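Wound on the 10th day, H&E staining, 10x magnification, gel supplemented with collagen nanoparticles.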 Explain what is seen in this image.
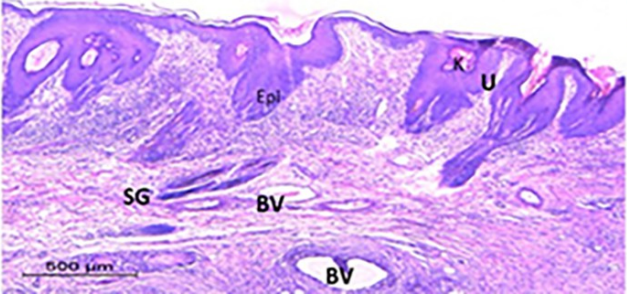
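Skin section with a purple epidermis thrown into irregular folds and downgrowths that extend into the dermis. Elongated glandular profiles and blood vessels with open lumens lie in the deeper dermis. The upper dermis is highly cellular, with many small purple nuclei in a pale pink matrix. The deeper dermis is more fibrous, with pink connective tissue bundles.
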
